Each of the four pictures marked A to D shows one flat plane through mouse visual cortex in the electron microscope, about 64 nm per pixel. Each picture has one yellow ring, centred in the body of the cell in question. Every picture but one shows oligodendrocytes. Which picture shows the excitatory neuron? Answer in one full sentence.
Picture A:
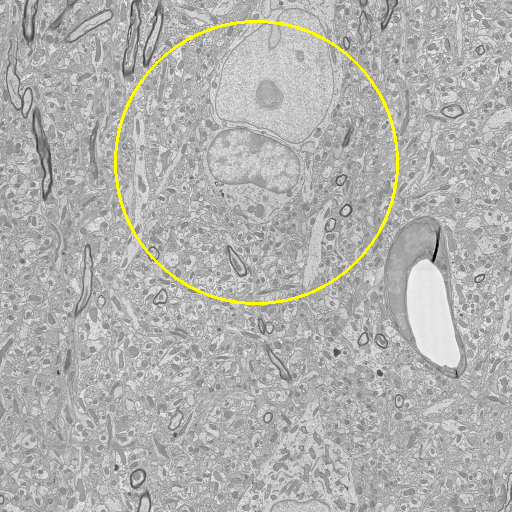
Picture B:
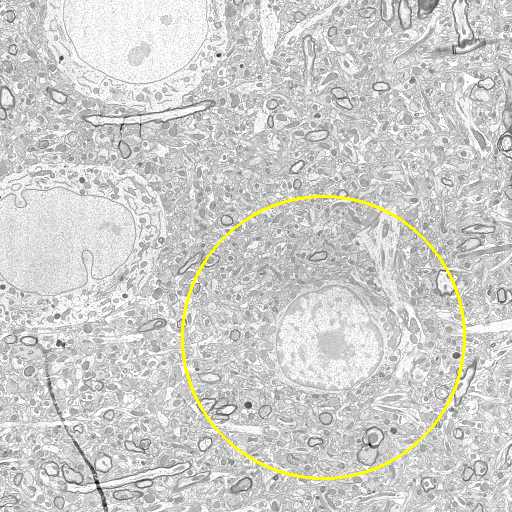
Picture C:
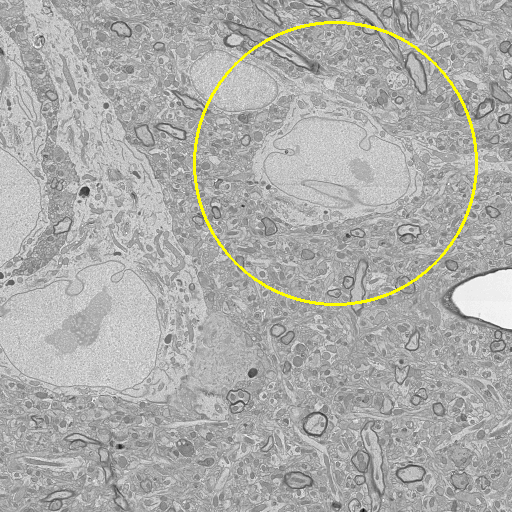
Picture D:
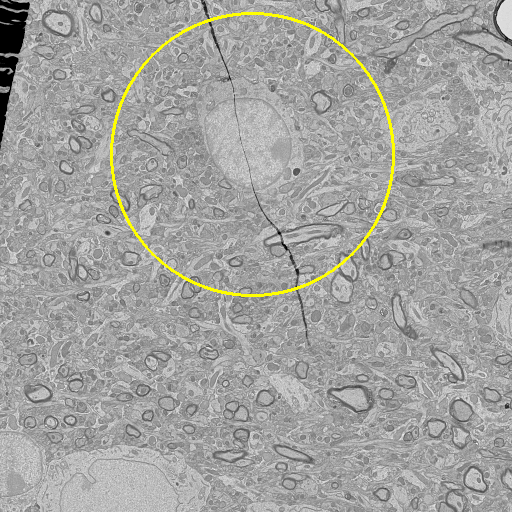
Picture C is the one that shows the excitatory neuron.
